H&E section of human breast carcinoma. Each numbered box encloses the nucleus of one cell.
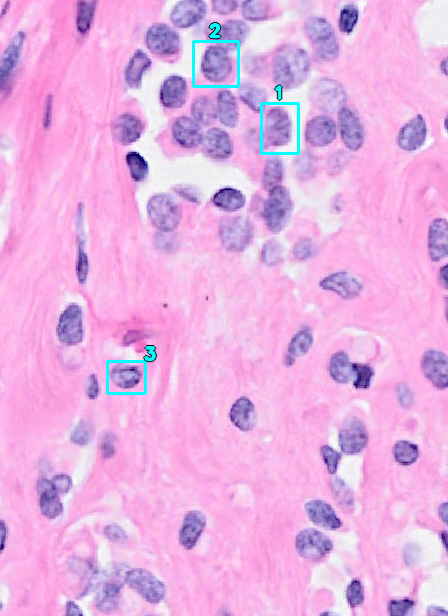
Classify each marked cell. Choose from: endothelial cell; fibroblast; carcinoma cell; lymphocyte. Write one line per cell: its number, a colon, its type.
1: carcinoma cell
2: carcinoma cell
3: endothelial cell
